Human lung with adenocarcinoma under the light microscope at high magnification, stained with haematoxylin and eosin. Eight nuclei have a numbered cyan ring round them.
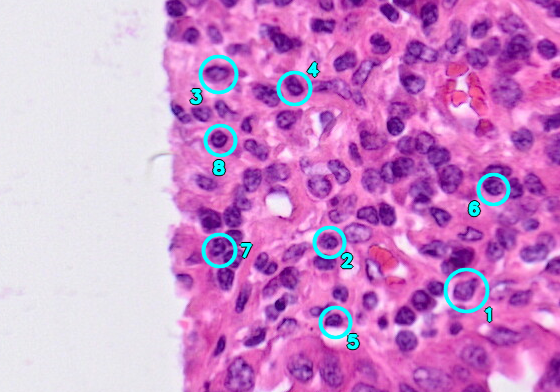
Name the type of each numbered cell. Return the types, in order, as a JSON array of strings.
["lymphocyte", "lymphocyte", "plasma cell", "plasma cell", "lymphocyte", "lymphocyte", "lymphocyte", "plasma cell"]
